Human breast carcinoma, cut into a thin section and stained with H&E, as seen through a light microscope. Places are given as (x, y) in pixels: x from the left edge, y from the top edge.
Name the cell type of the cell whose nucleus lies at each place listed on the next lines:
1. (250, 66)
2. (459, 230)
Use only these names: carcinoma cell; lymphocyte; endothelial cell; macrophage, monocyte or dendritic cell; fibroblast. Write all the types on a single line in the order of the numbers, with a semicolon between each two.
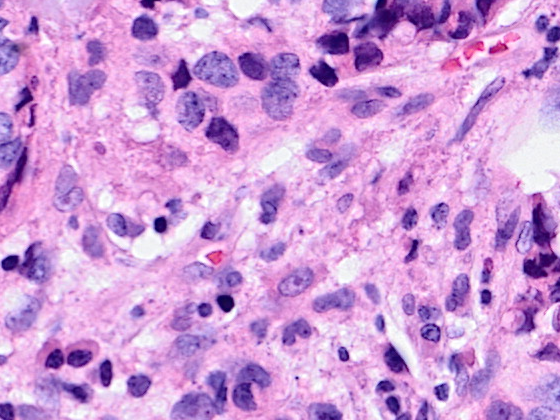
carcinoma cell; macrophage, monocyte or dendritic cell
